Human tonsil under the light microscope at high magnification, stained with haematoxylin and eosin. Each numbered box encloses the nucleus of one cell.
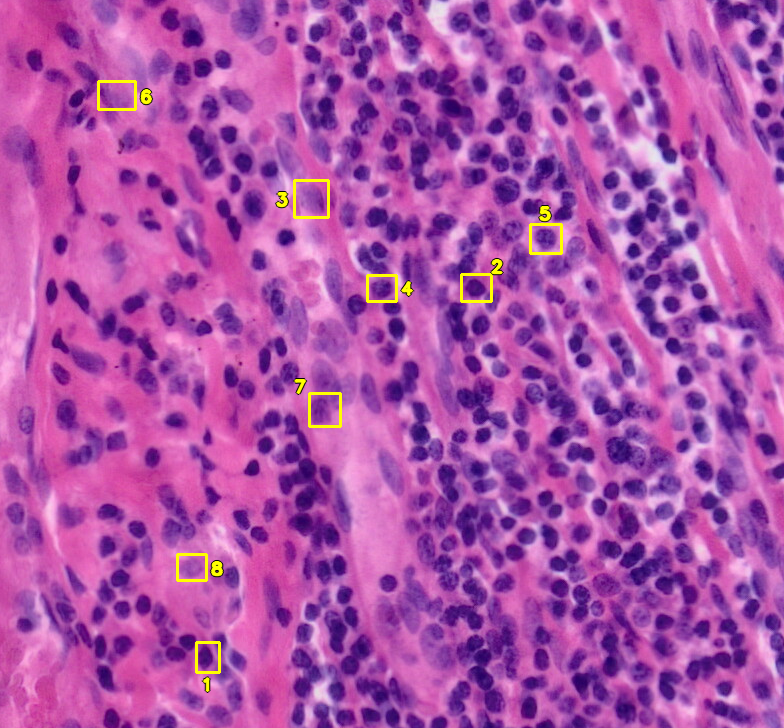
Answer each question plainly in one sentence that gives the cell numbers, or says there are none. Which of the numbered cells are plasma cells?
Cells that were given the numbers 1, 2, 4 and 5 are plasma cells.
